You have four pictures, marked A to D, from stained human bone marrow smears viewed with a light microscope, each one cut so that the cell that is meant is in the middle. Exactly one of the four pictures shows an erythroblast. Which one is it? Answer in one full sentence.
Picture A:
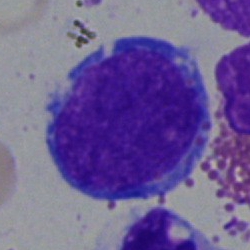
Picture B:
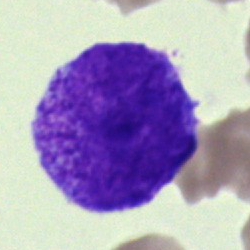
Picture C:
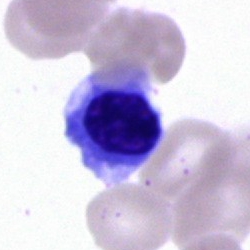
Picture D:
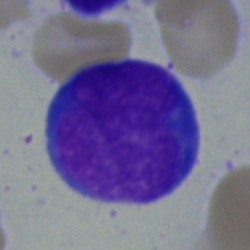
It is picture C that shows the erythroblast.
